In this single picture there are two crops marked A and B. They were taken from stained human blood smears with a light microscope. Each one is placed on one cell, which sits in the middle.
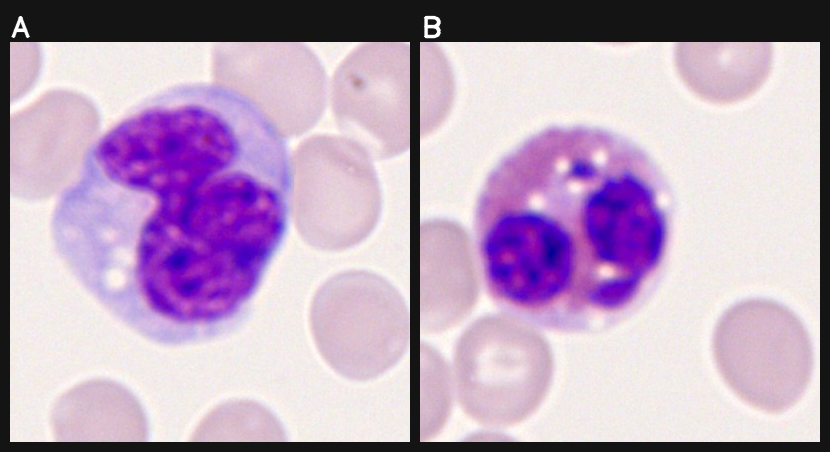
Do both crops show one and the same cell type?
no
